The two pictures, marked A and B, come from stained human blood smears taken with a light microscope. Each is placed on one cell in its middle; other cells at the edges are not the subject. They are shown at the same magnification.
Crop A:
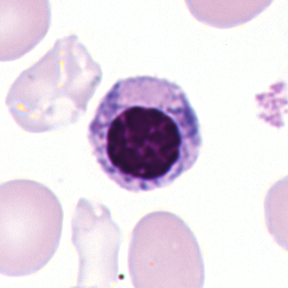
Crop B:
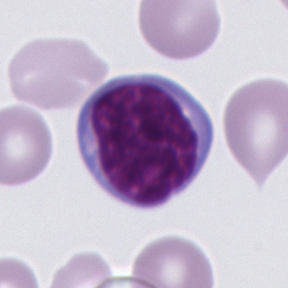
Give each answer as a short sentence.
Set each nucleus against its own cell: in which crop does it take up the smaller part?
It is the cell in crop A that is filled less by its nucleus.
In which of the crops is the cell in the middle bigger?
Larger is the cell in crop B, at roughly 1.5 times the area of the other.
